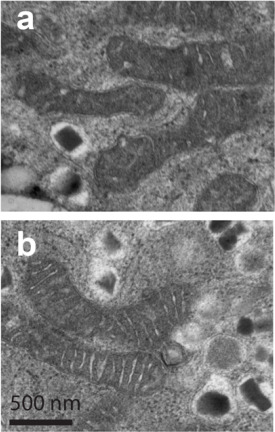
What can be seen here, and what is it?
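Two high-magnification fields of endocrine cell cytoplasm from a pancreatic islet are stacked one above the other. Each is dominated by elongated, sausage-shaped mitochondria with a moderately dense matrix. In the lower field, the mitochondria show crisp, closely spaced parallel cristae running across their width. In the upper field, the mitochondria look darker and their cristae are less sharply defined. Scattered between the mitochondria in both fields are secretory granules with dense, angular cores inside a clear halo. These crystalline-cored granules are typical of insulin-storing β cells.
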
